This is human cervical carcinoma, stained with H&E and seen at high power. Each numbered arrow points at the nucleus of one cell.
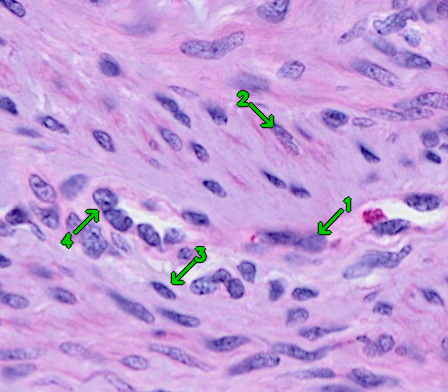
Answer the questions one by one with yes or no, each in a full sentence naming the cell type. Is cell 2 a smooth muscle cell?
Yes, the cell identified by number 2 is a smooth muscle cell.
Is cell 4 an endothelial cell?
Yes, the cell distinguished by number 4 is an endothelial cell.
